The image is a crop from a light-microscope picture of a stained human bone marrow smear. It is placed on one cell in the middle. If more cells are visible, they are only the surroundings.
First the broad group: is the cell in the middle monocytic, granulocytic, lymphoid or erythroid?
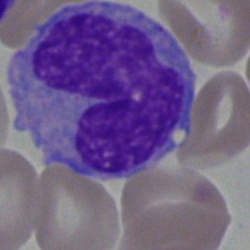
monocytic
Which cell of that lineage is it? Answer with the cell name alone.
monocyte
